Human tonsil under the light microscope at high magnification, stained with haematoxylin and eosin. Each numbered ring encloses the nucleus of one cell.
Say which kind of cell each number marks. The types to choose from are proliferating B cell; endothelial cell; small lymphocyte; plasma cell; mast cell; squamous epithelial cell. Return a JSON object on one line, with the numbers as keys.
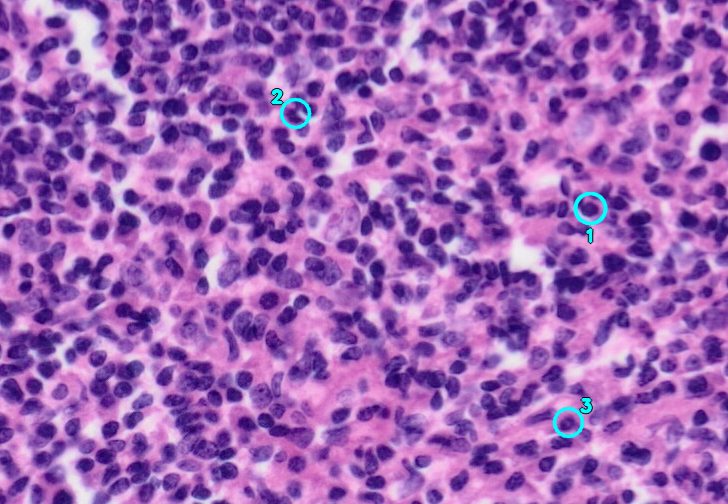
{"1": "small lymphocyte", "2": "small lymphocyte", "3": "plasma cell"}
